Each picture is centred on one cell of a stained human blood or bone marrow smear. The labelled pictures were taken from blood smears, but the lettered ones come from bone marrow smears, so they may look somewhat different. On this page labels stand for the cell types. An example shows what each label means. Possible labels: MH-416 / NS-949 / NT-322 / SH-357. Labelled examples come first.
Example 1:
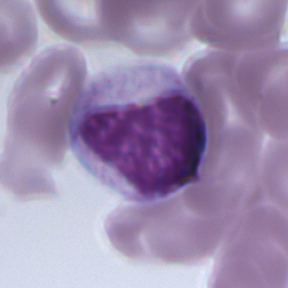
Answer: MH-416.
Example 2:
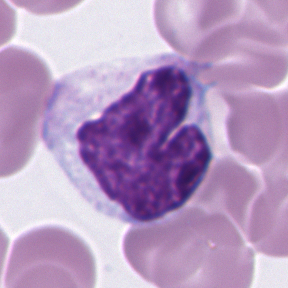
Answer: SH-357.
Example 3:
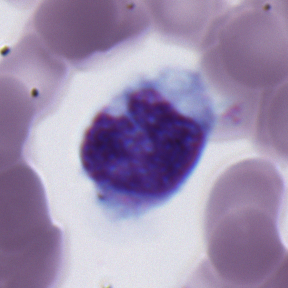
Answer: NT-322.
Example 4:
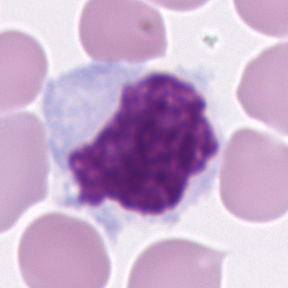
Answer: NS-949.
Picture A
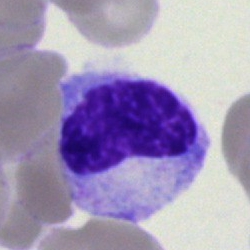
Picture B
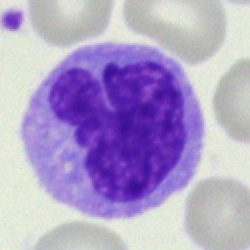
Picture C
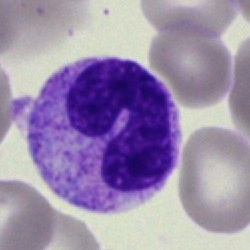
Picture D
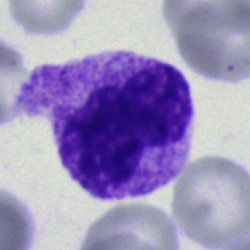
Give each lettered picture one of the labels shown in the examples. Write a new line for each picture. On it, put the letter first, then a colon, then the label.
A: MH-416.
B: NT-322.
C: SH-357.
D: MH-416.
